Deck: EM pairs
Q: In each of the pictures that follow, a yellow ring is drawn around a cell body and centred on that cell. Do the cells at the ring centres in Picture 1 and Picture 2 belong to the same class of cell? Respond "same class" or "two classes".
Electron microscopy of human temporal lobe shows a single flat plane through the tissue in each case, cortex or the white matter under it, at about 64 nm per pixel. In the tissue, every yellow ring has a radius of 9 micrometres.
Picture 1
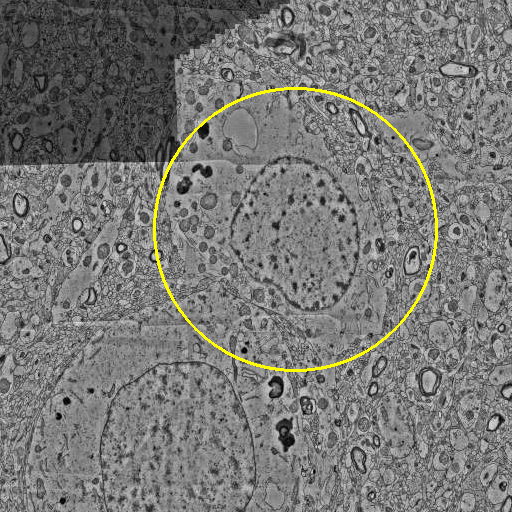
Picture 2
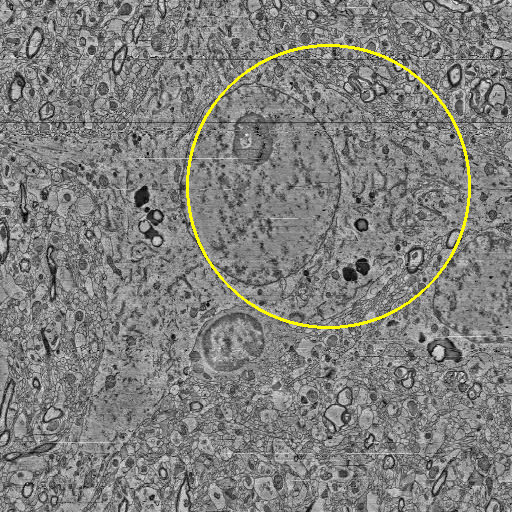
two classes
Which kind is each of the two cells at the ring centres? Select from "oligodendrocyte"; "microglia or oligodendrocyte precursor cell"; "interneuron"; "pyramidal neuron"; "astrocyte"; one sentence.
The cell at the centre of the ring is an astrocyte in the first picture and a pyramidal neuron in the second.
